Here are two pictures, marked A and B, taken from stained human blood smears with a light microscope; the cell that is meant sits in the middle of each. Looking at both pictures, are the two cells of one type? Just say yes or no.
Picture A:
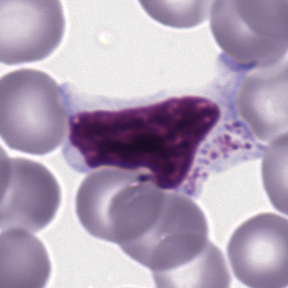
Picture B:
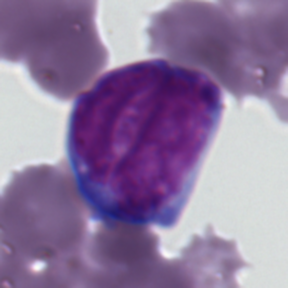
no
